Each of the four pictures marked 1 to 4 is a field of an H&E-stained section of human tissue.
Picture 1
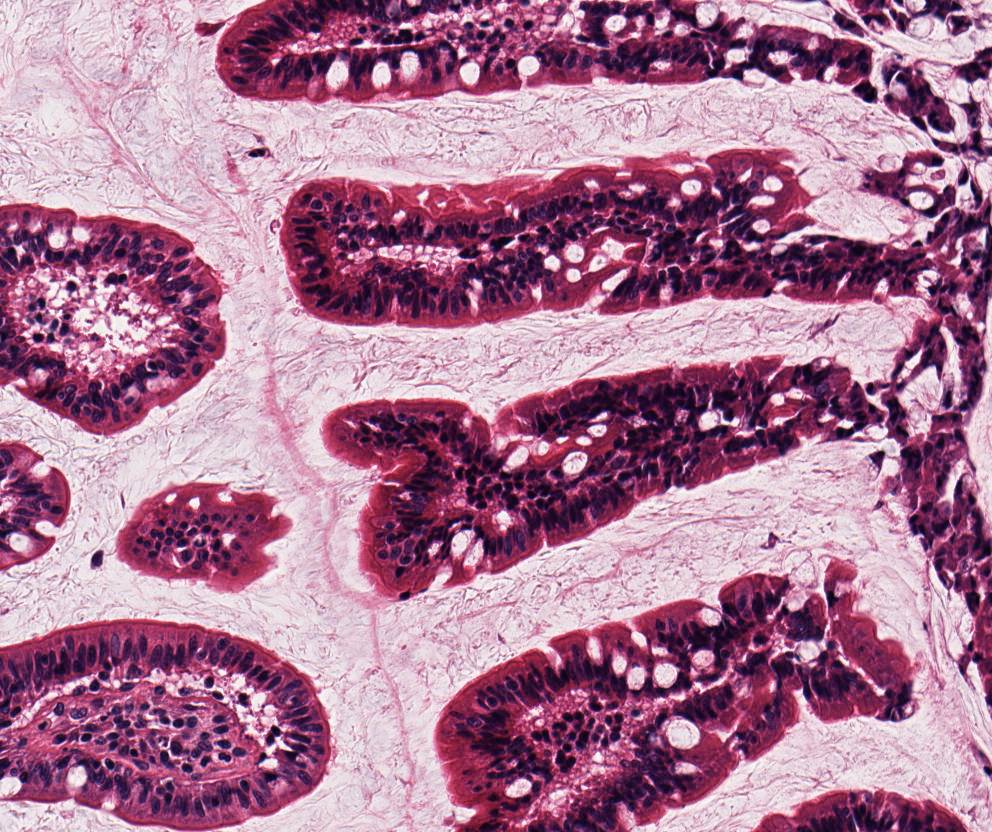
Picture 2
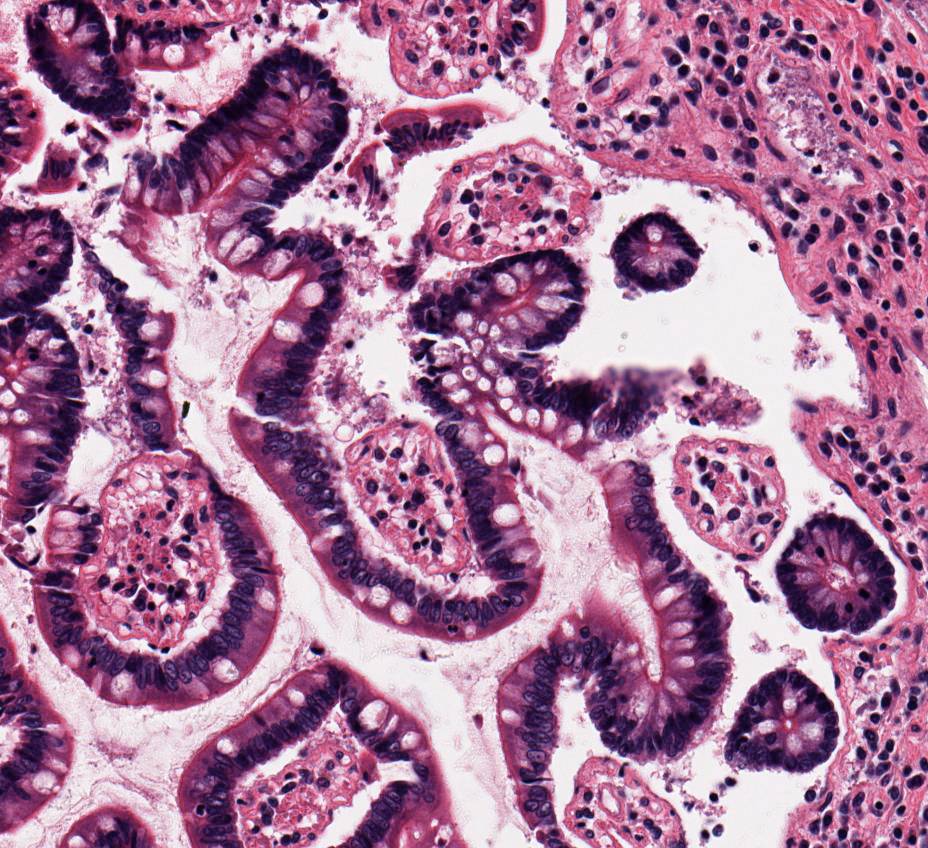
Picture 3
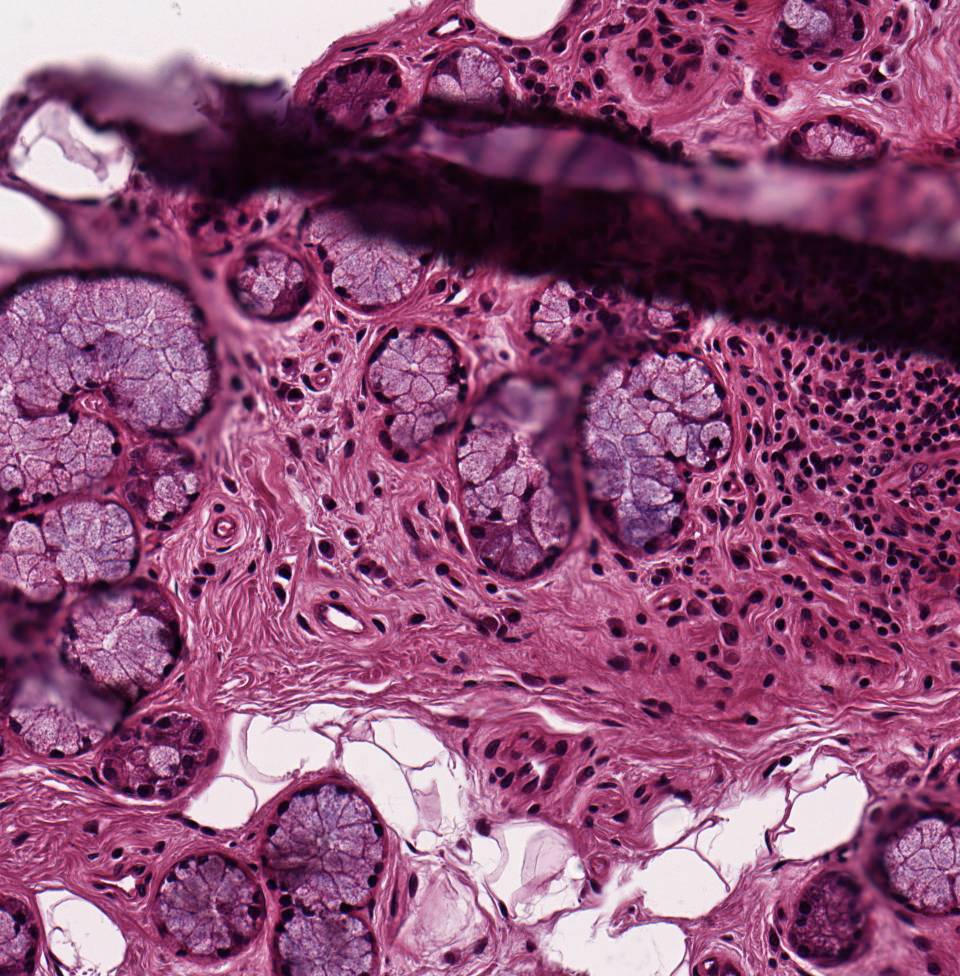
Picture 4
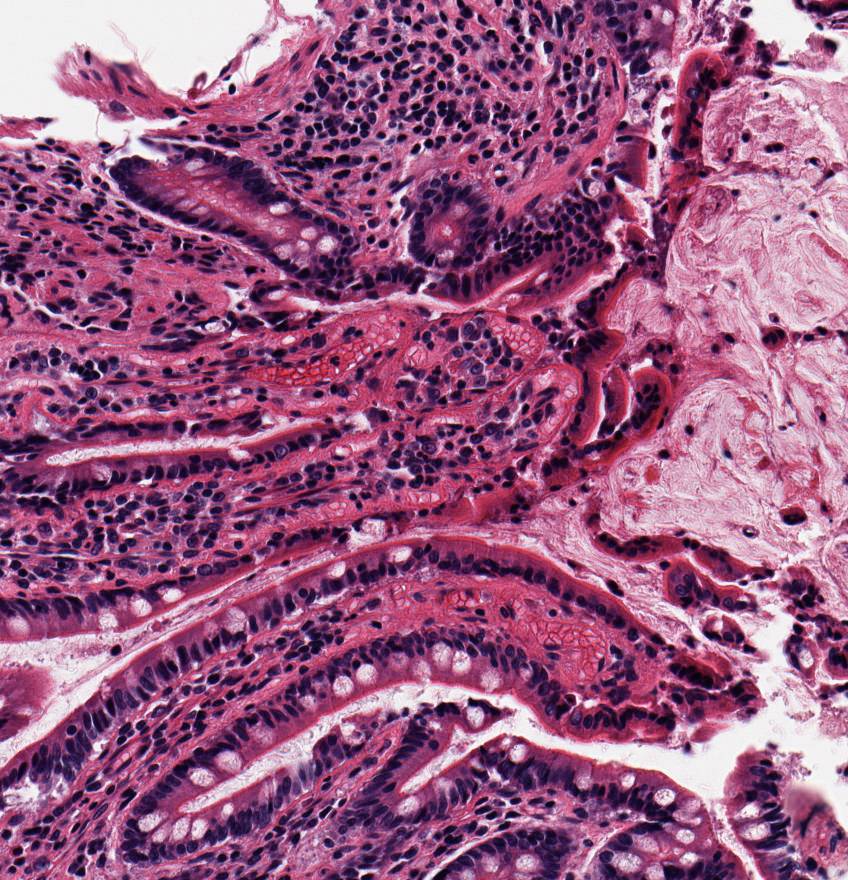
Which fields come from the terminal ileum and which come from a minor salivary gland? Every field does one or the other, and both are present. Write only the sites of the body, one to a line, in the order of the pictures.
terminal ileum
terminal ileum
minor salivary gland
terminal ileum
